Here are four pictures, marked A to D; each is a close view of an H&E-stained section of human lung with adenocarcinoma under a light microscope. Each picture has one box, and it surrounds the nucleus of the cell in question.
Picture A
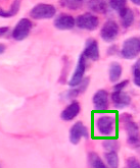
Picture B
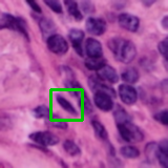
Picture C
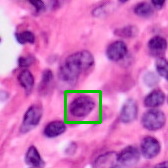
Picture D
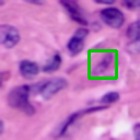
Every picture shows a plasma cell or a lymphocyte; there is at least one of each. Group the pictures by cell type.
A: lymphocyte
B: lymphocyte
C: plasma cell
D: plasma cell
